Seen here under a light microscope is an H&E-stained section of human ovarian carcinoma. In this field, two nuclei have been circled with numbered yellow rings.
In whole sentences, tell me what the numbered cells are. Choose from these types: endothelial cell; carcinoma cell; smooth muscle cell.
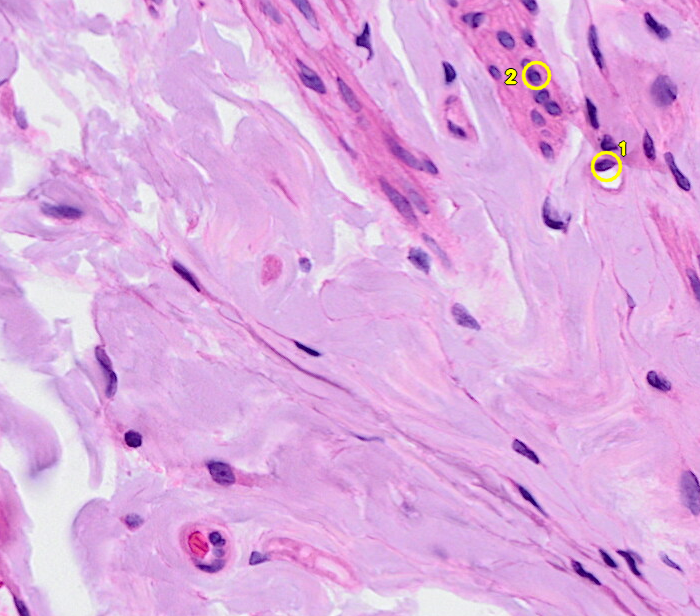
Cell 1 is an endothelial cell. Cell 2 is a smooth muscle cell.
